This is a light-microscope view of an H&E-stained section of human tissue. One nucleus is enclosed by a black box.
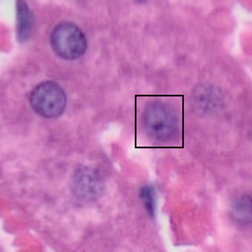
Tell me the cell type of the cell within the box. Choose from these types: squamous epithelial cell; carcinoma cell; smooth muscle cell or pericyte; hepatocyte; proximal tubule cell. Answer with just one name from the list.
hepatocyte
